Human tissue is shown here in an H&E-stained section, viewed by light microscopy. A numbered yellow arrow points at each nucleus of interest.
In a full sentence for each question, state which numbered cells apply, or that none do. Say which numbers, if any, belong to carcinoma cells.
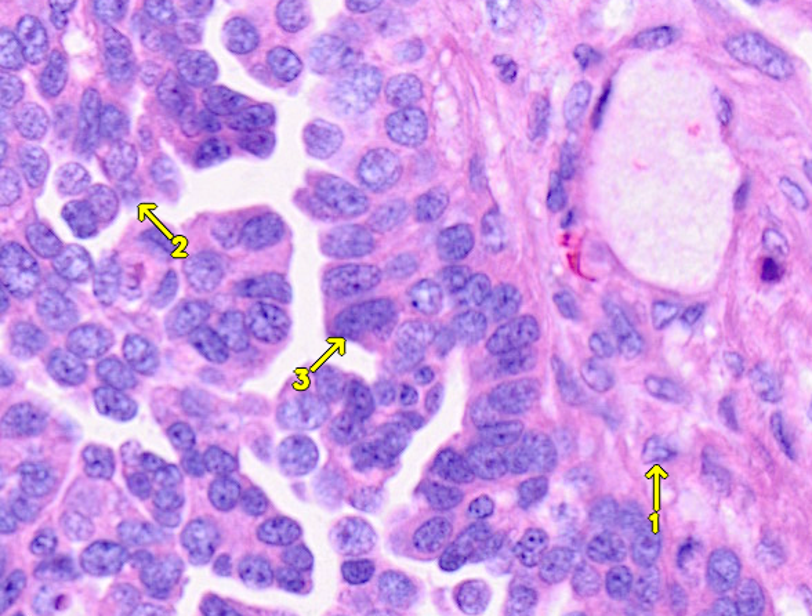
The numbers 2 and 3 mark cells that are carcinoma cells.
